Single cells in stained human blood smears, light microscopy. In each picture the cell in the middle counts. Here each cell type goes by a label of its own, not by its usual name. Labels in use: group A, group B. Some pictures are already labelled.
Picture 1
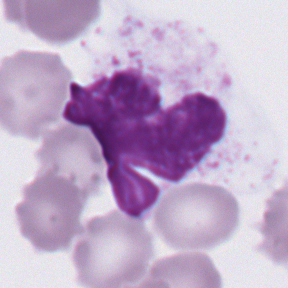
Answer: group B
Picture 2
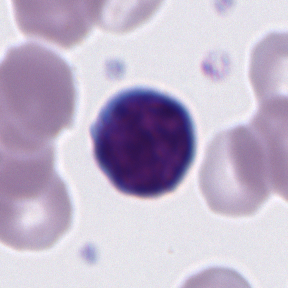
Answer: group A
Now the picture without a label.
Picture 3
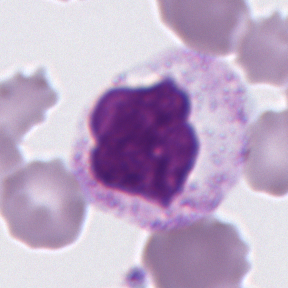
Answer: group B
